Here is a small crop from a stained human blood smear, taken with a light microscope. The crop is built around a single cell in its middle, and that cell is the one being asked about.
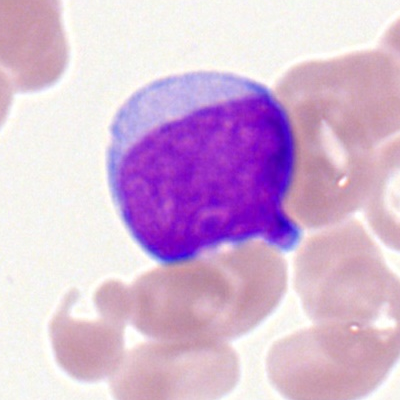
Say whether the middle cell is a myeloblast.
yes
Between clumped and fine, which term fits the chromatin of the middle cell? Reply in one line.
Chromatin texture is fine, and coarse clumps are absent.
